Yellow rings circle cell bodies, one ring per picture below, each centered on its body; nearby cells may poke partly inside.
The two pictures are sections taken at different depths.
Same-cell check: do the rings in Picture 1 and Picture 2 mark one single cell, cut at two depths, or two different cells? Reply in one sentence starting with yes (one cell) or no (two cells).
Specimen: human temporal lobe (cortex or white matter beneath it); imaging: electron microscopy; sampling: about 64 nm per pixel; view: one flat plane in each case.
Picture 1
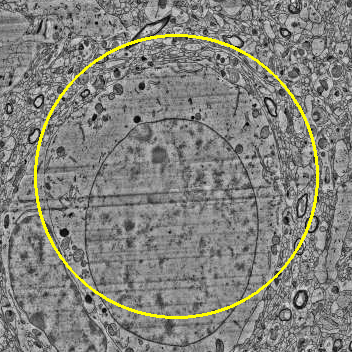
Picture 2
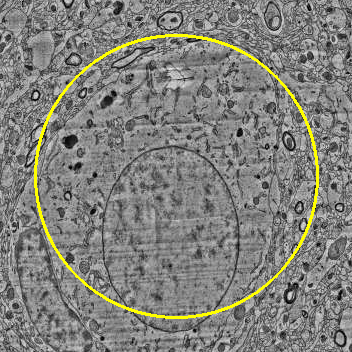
Yes, a single cell is marked twice, once by each yellow ring.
